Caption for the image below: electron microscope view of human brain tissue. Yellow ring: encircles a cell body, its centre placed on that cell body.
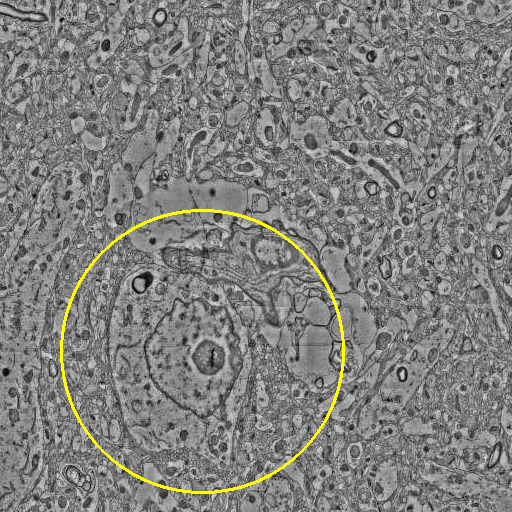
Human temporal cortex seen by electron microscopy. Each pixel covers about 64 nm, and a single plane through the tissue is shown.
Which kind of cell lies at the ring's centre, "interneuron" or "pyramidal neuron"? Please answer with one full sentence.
The picture shows a pyramidal neuron at the centre of the yellow ring.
